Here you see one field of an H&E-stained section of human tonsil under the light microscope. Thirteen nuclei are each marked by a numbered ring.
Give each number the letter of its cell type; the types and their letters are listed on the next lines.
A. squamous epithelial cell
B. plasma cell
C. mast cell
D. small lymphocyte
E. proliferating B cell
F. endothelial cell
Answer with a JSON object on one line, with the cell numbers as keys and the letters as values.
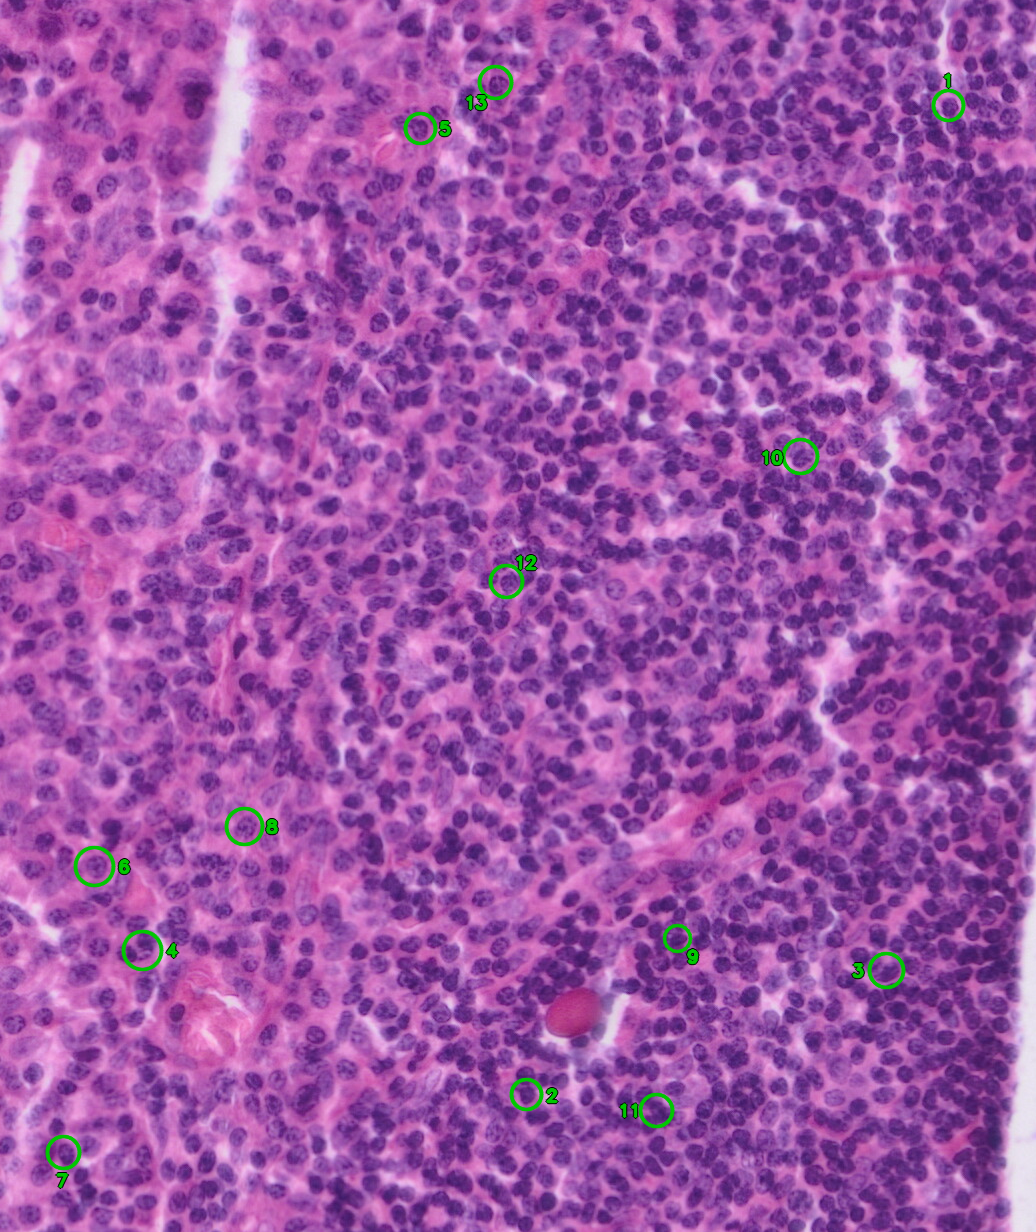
{"1": "D", "2": "D", "3": "D", "4": "B", "5": "B", "6": "B", "7": "B", "8": "B", "9": "D", "10": "D", "11": "D", "12": "D", "13": "B"}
